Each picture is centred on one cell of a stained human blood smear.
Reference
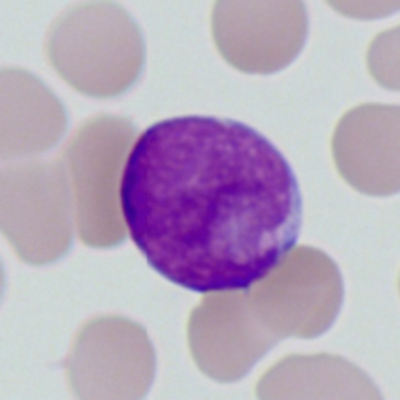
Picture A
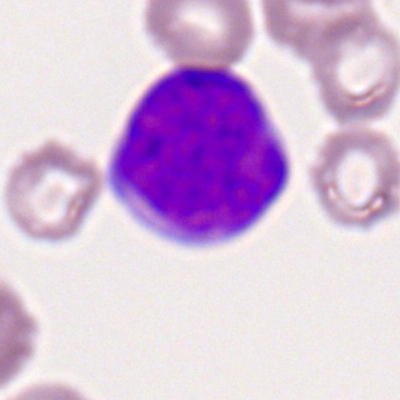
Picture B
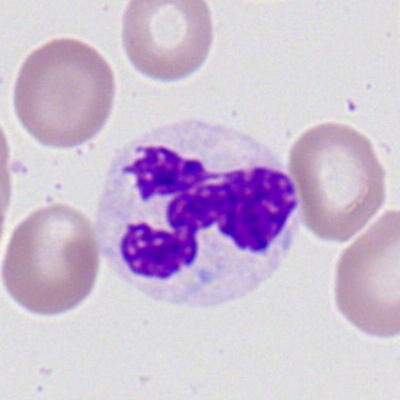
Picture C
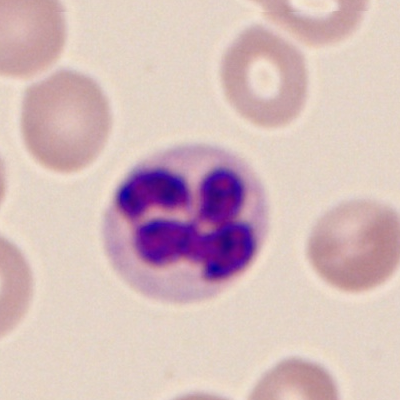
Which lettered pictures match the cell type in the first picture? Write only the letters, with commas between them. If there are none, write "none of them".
A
